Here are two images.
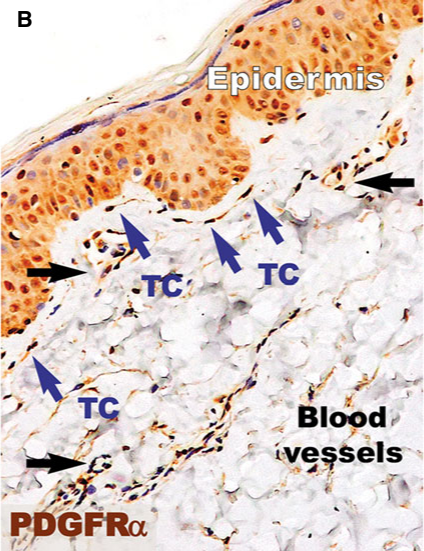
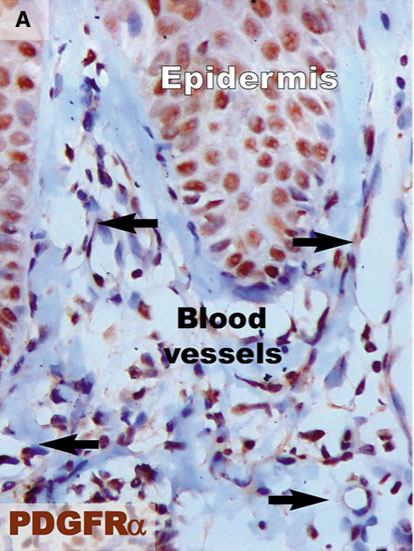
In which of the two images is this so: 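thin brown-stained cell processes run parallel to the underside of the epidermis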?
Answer: the first image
